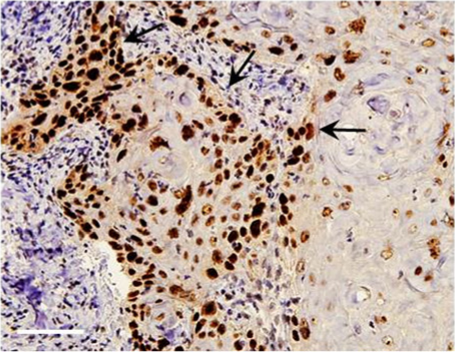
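Tumor nests of squamous cell carcinoma are shown, in which many tumor cells carry dark brown nuclei. The brown nuclei are round to oval and vary in size, with the cytoplasm around them staying pale. They crowd most densely at the edges of the nests next to the stroma. The central parts of the nests hold larger, paler cells with abundant cytoplasm, where fewer nuclei are brown. The surrounding stroma shows small blue nuclei without brown staining.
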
